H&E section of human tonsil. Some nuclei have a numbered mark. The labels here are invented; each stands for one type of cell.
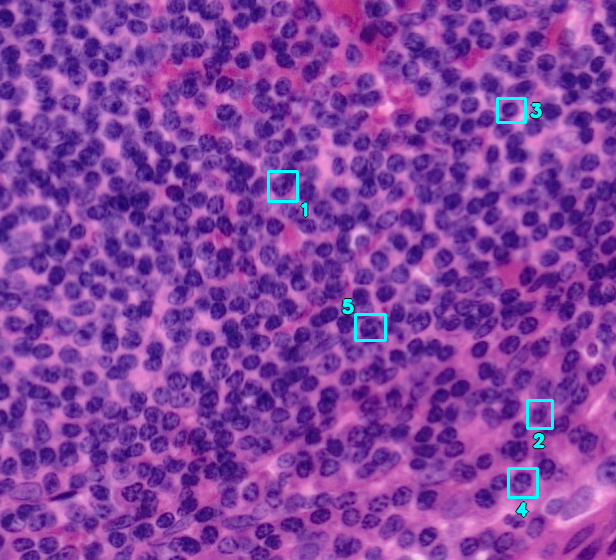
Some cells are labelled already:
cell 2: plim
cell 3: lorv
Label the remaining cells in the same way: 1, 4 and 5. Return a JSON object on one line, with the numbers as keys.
{"1": "lorv", "4": "plim", "5": "lorv"}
